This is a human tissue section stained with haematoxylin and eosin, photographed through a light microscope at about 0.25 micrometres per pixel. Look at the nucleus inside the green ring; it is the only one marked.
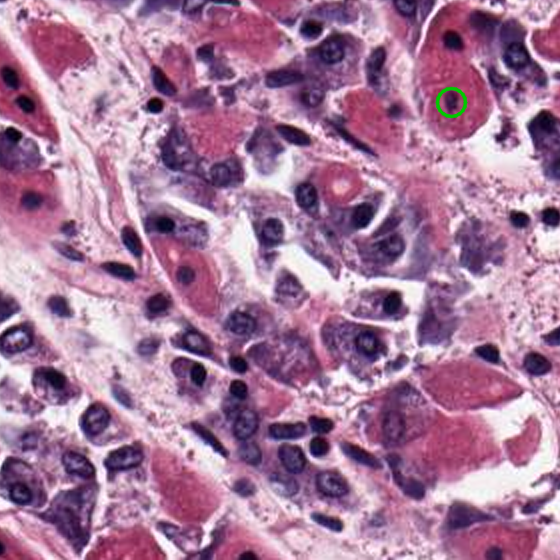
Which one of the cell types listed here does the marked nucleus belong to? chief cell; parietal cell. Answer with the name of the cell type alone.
parietal cell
